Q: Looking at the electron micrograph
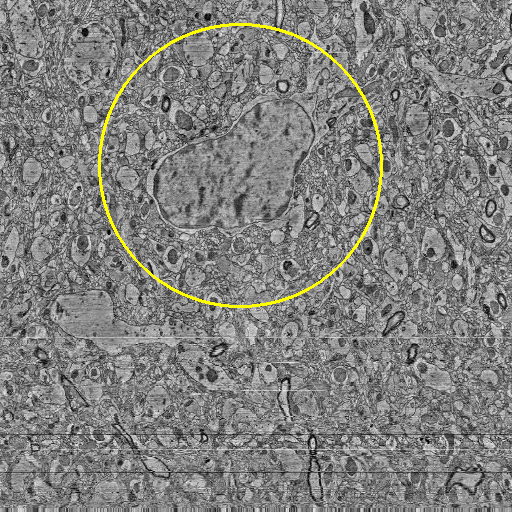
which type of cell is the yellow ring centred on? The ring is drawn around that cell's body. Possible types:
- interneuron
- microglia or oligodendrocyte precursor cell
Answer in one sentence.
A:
The yellow ring is centred on a microglial cell or oligodendrocyte precursor cell.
